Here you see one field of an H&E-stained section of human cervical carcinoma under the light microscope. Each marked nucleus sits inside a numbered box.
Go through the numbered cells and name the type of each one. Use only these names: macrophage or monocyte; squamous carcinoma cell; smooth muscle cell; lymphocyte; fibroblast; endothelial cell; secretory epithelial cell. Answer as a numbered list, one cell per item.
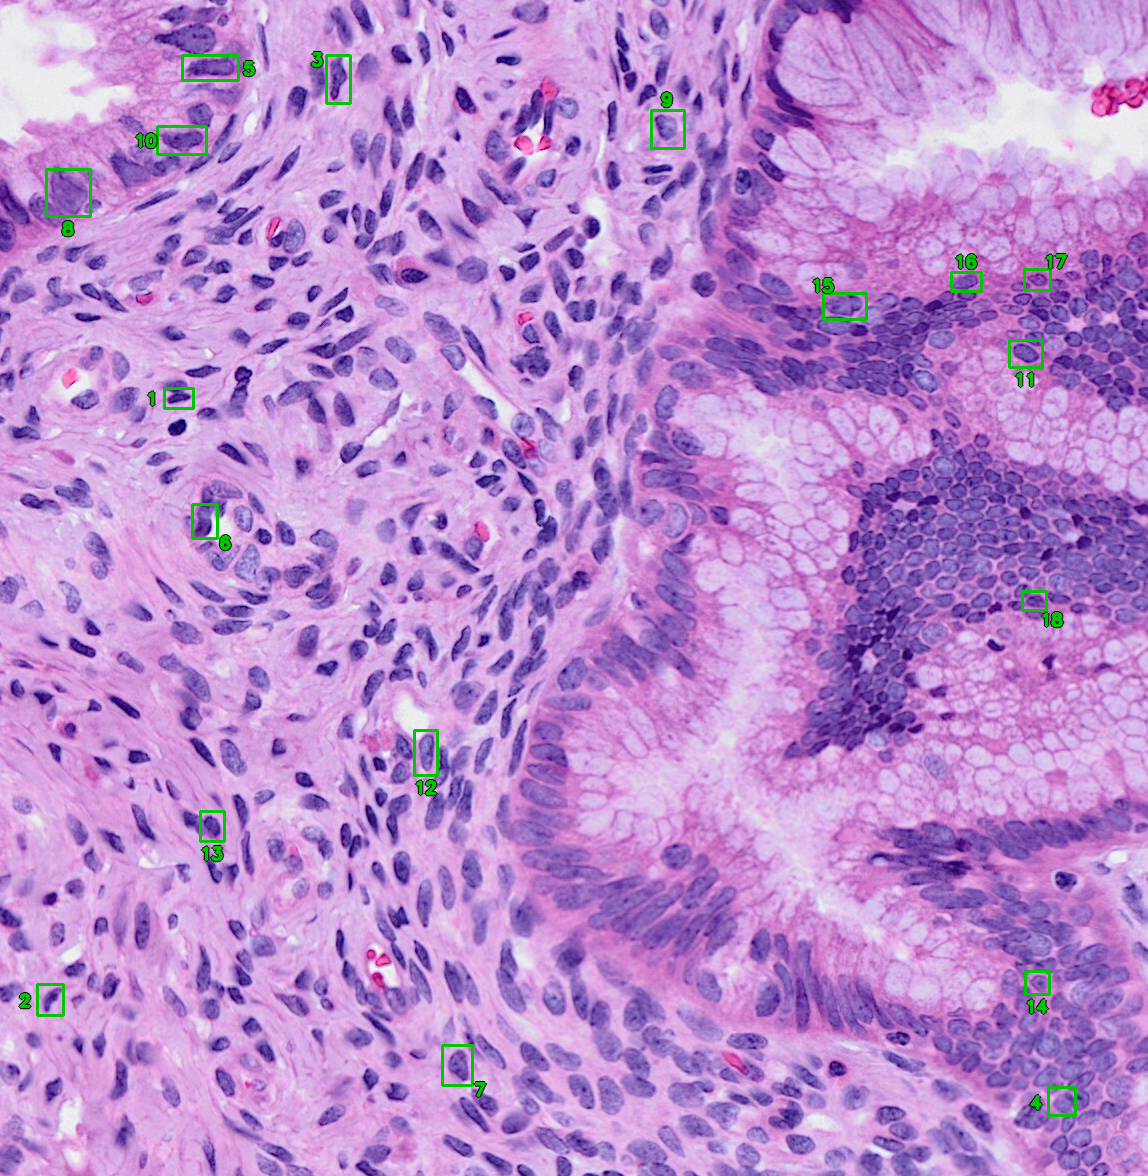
1. fibroblast
2. fibroblast
3. fibroblast
4. secretory epithelial cell
5. secretory epithelial cell
6. endothelial cell
7. fibroblast
8. secretory epithelial cell
9. endothelial cell
10. secretory epithelial cell
11. secretory epithelial cell
12. endothelial cell
13. fibroblast
14. secretory epithelial cell
15. secretory epithelial cell
16. secretory epithelial cell
17. secretory epithelial cell
18. secretory epithelial cell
